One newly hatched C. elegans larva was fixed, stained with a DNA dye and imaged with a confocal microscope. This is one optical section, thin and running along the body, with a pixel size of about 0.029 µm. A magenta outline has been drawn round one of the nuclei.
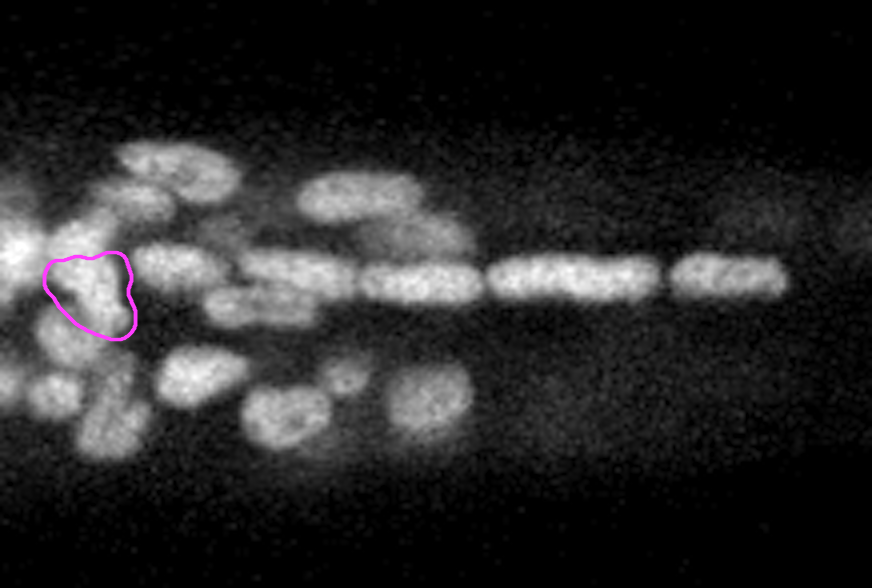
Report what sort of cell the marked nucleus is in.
pharyngeal muscle cell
